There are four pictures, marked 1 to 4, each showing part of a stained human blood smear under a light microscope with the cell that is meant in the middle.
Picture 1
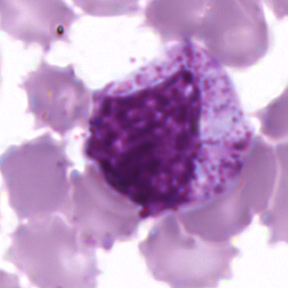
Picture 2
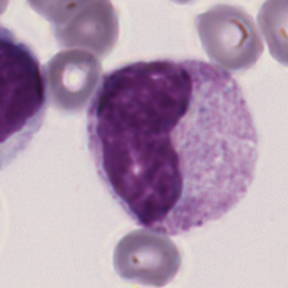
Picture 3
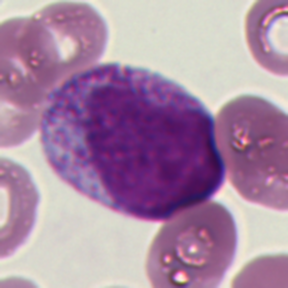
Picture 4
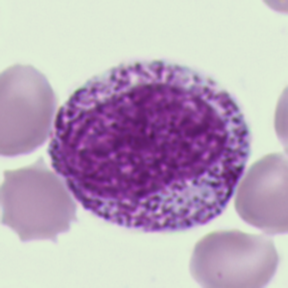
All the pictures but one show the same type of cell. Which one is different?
2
